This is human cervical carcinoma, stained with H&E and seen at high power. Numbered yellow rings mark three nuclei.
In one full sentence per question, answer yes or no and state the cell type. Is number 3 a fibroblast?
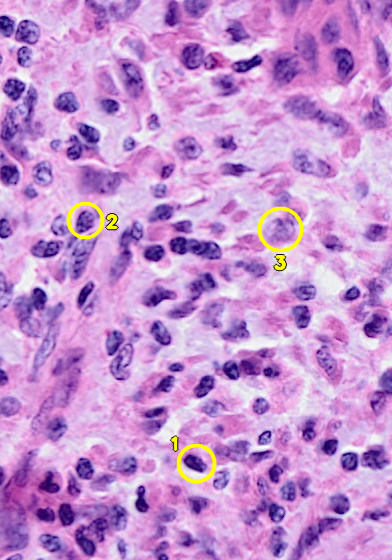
Yes, the cell with number 3 is a fibroblast.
